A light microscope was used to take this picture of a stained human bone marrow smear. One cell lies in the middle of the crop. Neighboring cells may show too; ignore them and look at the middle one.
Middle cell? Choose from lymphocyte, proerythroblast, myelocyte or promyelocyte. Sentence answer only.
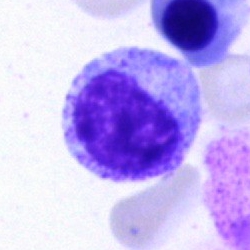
The centered cell in this crop is a myelocyte.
